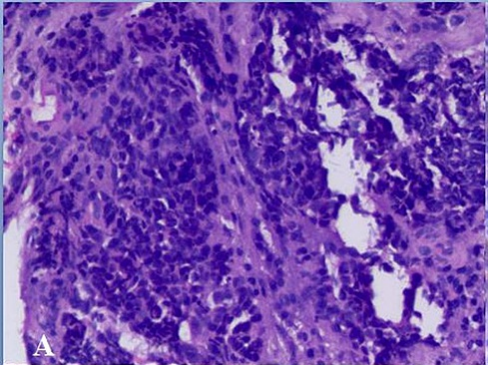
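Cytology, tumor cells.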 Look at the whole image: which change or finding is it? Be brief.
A: Hyperchromatic nuclei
